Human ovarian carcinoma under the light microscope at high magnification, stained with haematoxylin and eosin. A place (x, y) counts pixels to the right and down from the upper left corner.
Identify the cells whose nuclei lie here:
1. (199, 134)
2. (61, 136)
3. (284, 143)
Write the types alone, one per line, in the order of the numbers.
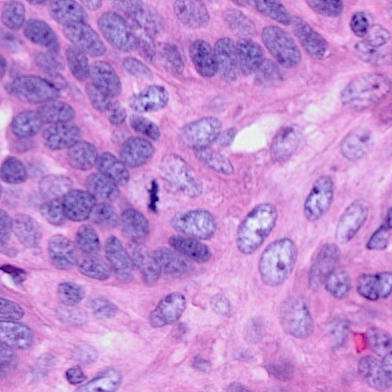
fibroblast
carcinoma cell
fibroblast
